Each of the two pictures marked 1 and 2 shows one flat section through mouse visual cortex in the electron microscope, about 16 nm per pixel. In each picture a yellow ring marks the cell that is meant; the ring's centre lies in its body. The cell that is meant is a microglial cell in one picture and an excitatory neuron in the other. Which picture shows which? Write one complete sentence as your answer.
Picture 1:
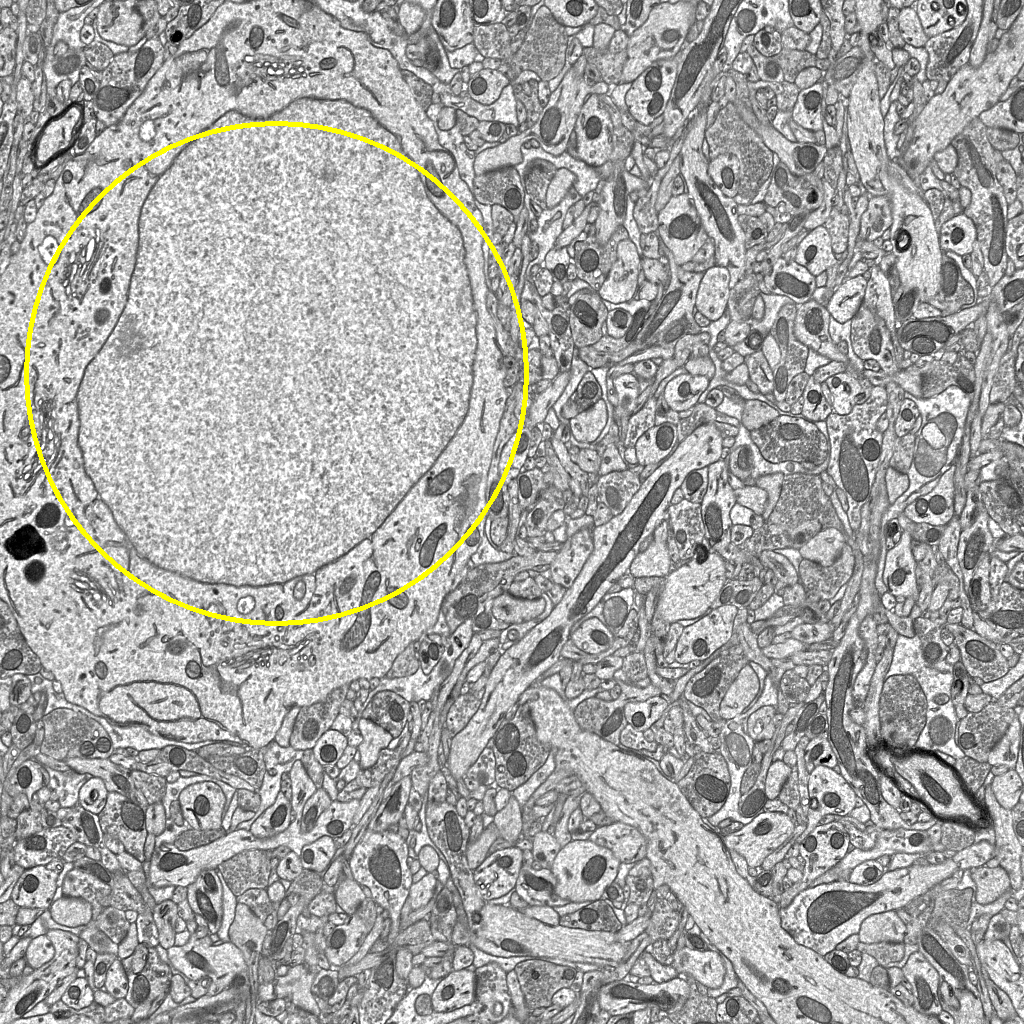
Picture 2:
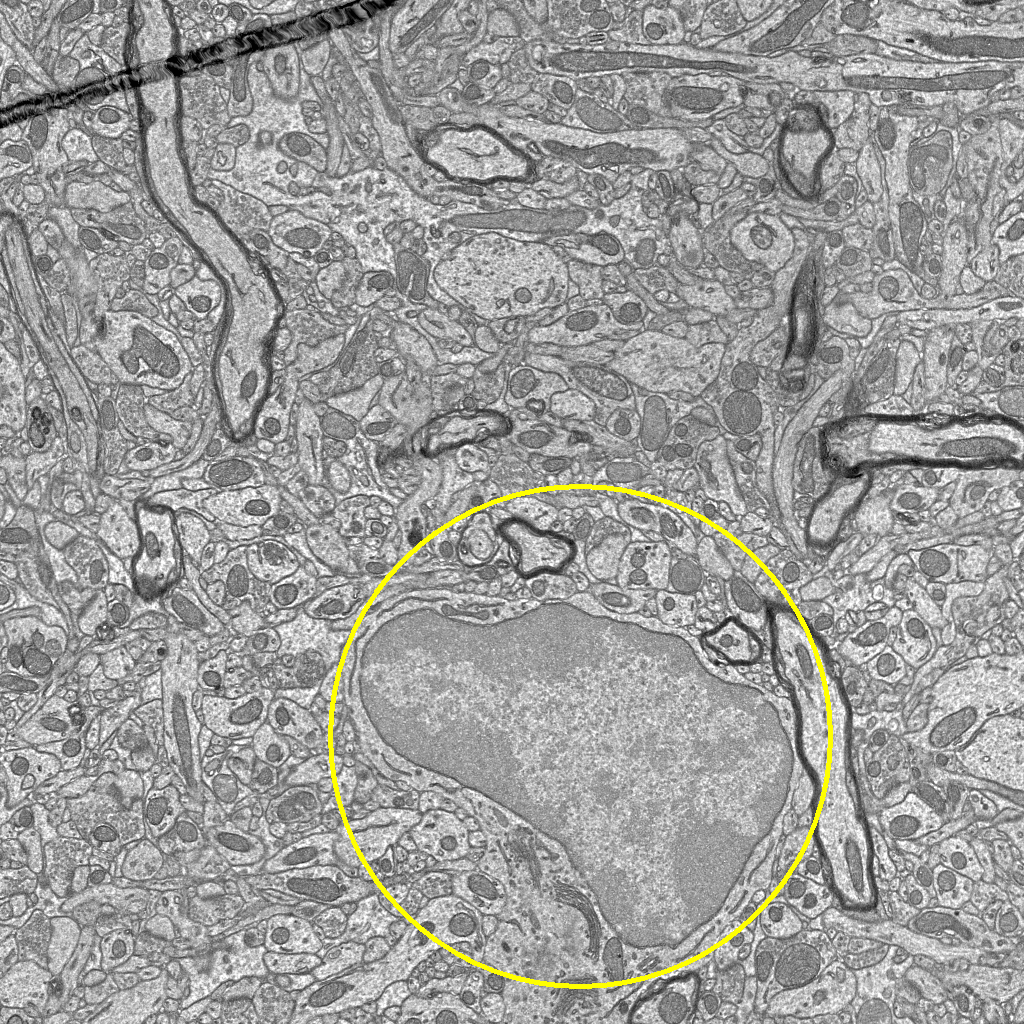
Picture 1 shows an excitatory neuron and picture 2 shows a microglial cell.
